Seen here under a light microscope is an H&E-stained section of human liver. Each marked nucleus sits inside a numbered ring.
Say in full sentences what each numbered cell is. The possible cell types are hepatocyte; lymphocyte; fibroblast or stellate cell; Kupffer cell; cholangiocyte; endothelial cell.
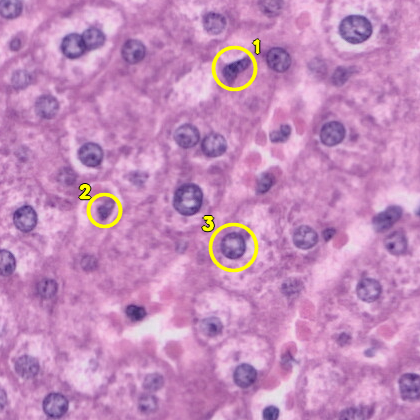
Cell 1 is a fibroblast or stellate cell, cell 2 is a Kupffer cell and cell 3 is a hepatocyte.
